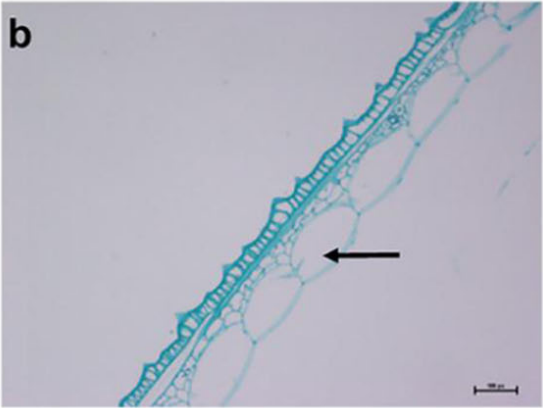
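The outer surface carries small, regularly spaced projections with strongly blue-green walls, backed by a few rows of small, compact cells. Beneath these lie very large, rounded to polygonal parenchyma cells with thin, faintly stained walls and pale, nearly empty interiors.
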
